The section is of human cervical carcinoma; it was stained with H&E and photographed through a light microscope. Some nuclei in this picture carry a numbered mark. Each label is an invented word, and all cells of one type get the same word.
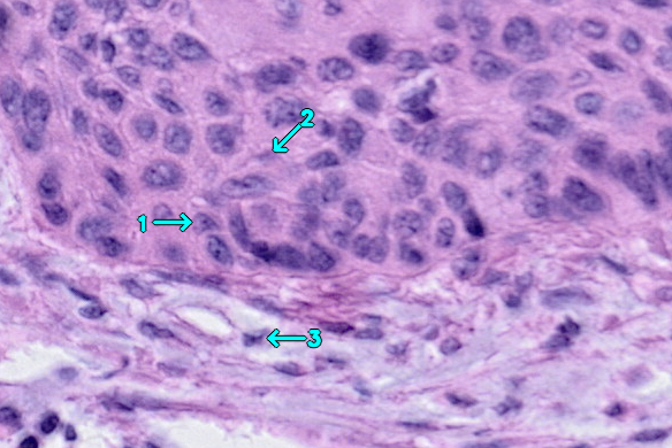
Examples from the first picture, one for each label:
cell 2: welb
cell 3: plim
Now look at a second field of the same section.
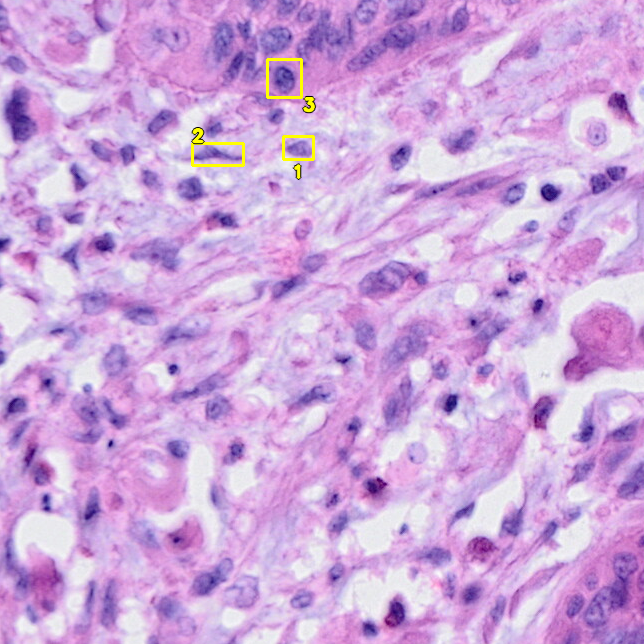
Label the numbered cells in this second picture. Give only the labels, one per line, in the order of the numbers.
plim
plim
welb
